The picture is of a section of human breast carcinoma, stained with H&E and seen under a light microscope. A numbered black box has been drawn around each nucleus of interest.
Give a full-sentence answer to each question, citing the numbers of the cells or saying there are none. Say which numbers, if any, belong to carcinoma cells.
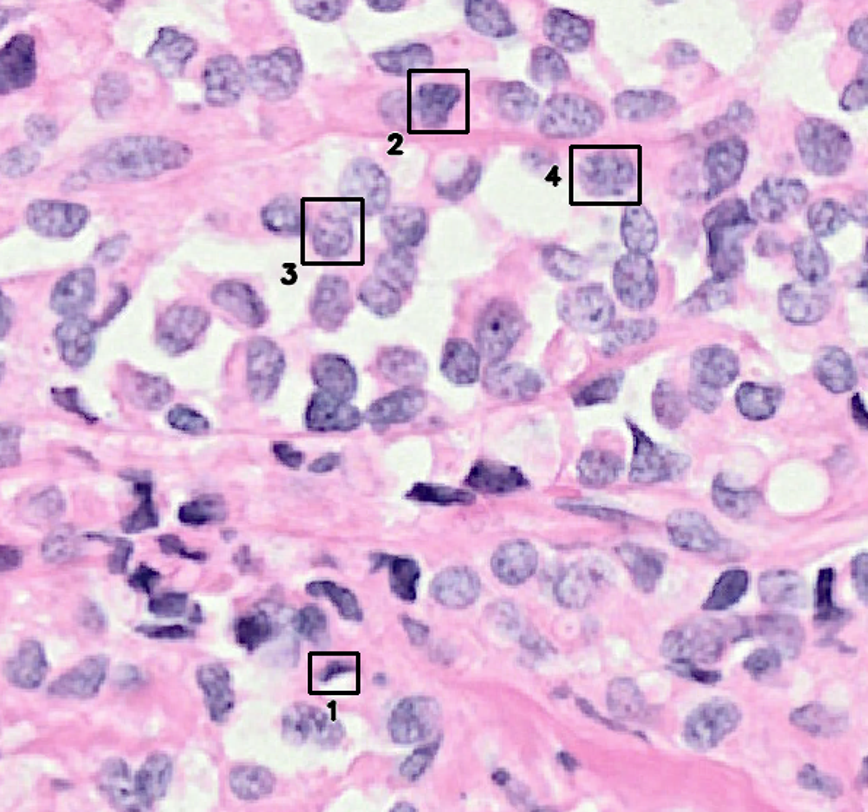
Cells 2, 3 and 4 share one type; they are carcinoma cells.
